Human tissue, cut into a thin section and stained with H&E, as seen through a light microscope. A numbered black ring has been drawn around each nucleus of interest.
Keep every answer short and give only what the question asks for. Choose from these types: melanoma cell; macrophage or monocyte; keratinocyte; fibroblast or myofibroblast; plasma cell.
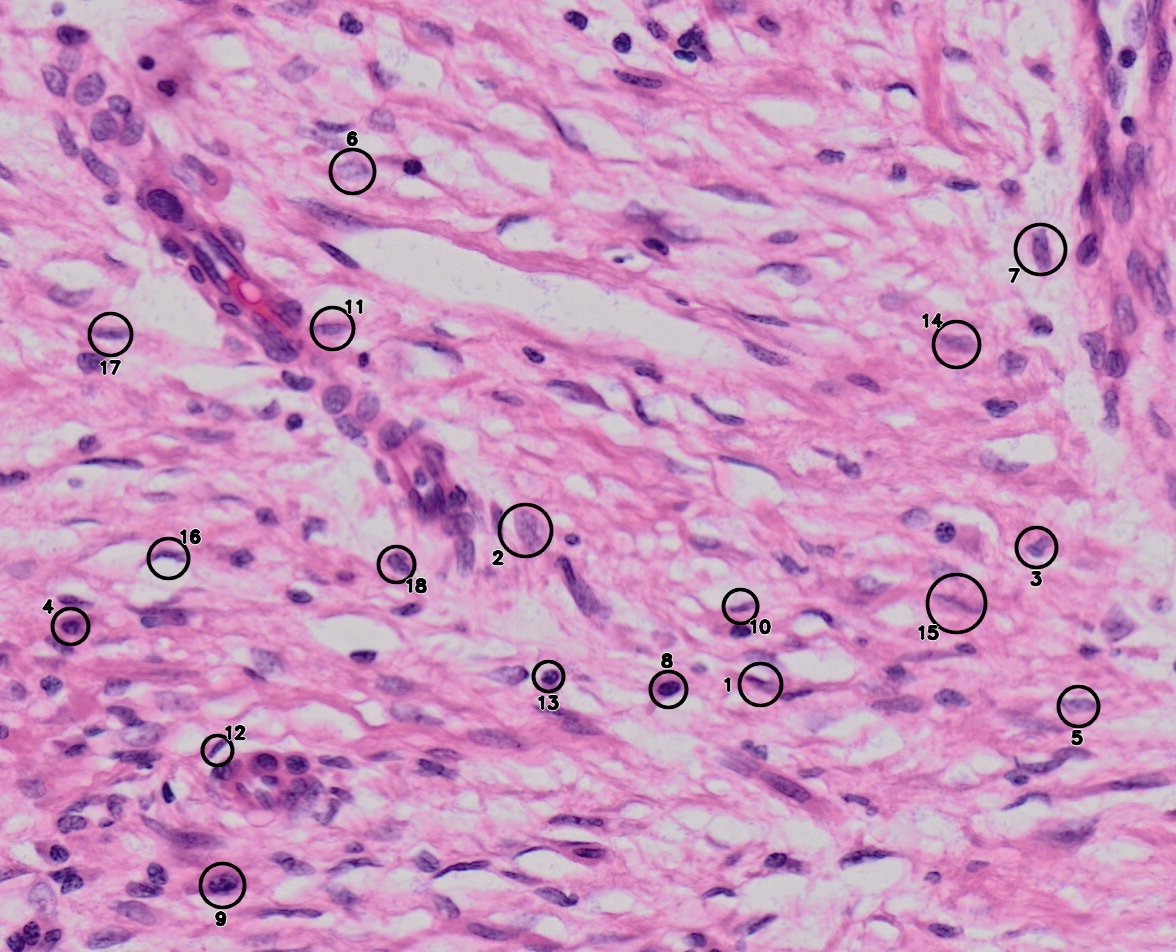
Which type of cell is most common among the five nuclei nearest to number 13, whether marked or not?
fibroblast or myofibroblast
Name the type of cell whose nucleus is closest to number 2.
fibroblast or myofibroblast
